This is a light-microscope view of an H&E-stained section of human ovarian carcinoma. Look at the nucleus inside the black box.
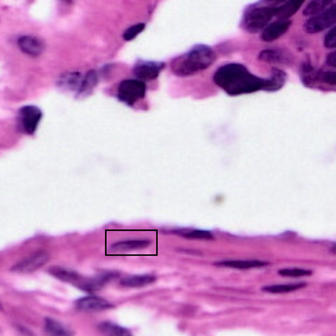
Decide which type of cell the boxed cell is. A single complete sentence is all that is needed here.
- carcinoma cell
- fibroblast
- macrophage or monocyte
Cell type answer for this item: the boxed cell is a fibroblast.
